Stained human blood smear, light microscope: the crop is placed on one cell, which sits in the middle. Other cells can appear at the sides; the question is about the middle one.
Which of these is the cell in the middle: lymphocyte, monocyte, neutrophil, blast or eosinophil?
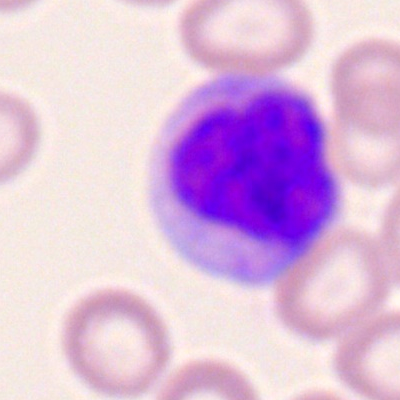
monocyte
